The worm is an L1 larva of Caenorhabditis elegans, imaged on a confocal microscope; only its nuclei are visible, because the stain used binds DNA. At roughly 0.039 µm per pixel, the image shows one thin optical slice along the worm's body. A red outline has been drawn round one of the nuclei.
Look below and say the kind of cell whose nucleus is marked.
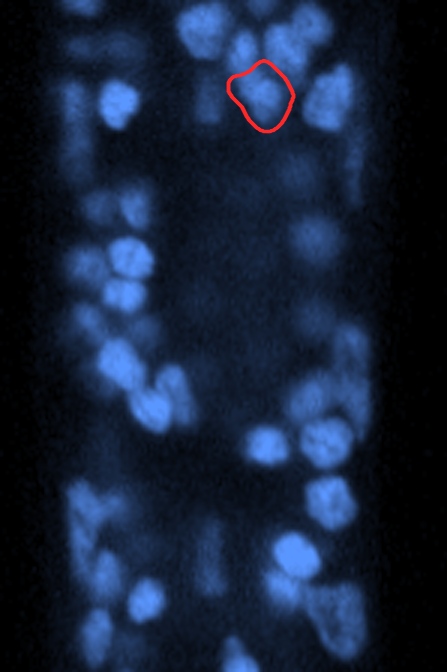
pharyngeal marginal cell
